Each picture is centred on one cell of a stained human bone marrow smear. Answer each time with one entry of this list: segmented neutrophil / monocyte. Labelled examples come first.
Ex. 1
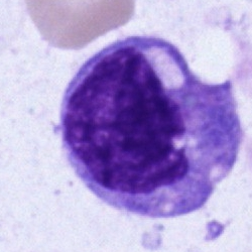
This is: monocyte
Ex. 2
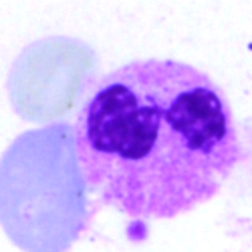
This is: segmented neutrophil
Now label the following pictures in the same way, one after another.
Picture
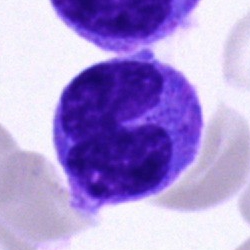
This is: monocyte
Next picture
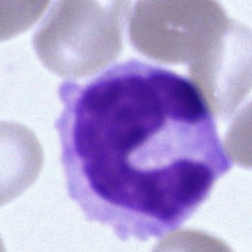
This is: monocyte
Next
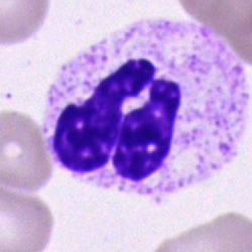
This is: segmented neutrophil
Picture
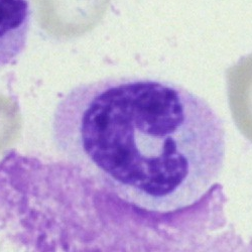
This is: segmented neutrophil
